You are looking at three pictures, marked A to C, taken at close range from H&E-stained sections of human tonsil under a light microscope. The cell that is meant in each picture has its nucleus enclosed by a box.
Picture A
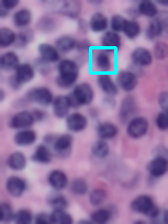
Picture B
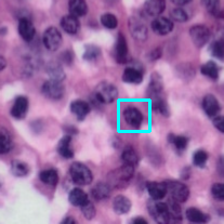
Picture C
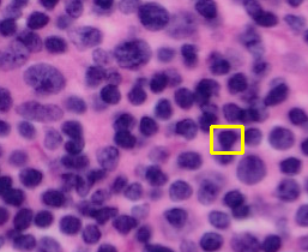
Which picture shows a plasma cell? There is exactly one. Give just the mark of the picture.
B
